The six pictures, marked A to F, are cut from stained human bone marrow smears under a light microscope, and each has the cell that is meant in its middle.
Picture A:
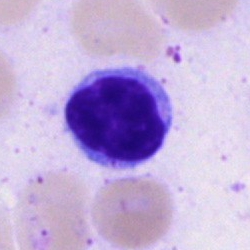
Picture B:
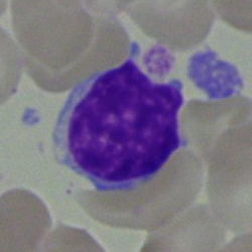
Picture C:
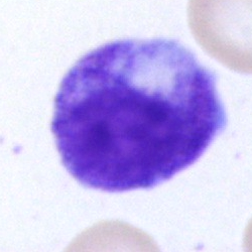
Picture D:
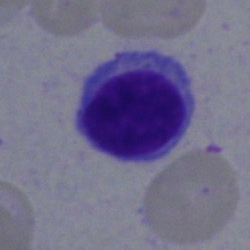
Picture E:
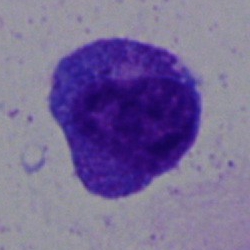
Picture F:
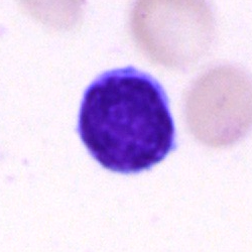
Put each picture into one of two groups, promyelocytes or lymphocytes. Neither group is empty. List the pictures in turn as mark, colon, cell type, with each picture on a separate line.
A: lymphocyte
B: lymphocyte
C: promyelocyte
D: lymphocyte
E: promyelocyte
F: lymphocyte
